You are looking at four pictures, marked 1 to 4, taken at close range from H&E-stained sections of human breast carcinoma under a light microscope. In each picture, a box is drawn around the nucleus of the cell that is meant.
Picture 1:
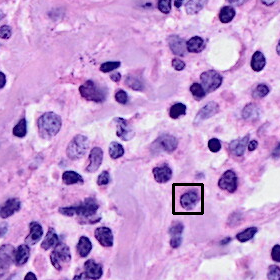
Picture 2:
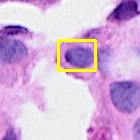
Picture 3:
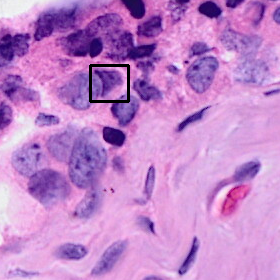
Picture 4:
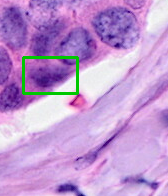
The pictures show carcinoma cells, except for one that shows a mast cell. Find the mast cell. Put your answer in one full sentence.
Picture 1 shows the mast cell.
